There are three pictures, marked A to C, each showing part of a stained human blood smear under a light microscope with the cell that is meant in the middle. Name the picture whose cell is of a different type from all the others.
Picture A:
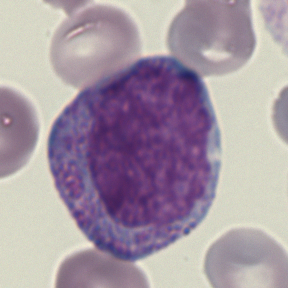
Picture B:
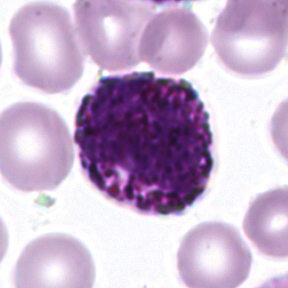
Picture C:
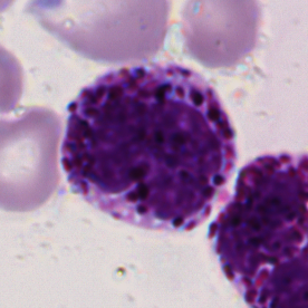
A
